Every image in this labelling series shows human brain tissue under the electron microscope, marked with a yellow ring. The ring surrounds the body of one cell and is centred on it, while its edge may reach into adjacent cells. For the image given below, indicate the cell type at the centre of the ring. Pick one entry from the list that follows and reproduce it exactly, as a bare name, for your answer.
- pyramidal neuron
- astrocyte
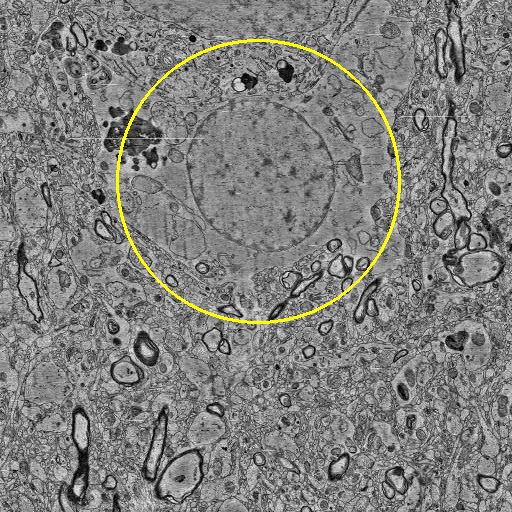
astrocyte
